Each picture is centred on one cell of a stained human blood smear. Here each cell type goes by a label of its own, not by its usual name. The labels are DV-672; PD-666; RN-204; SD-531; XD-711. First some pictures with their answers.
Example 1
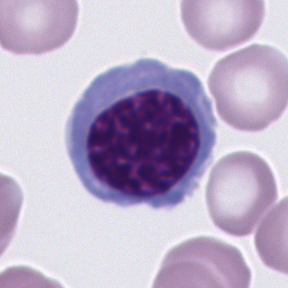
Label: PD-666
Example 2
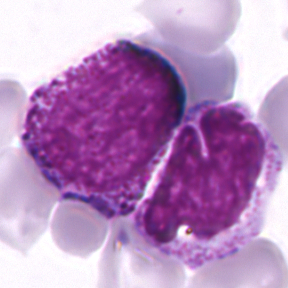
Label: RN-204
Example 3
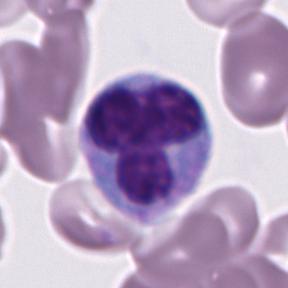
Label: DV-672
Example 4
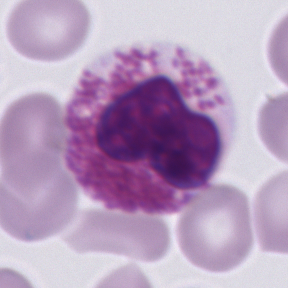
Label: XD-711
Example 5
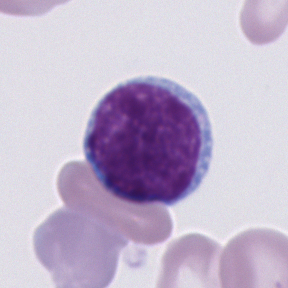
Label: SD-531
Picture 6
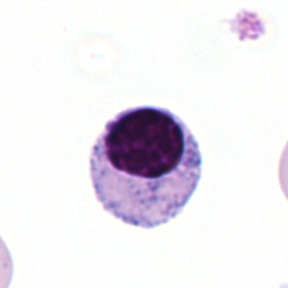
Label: PD-666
